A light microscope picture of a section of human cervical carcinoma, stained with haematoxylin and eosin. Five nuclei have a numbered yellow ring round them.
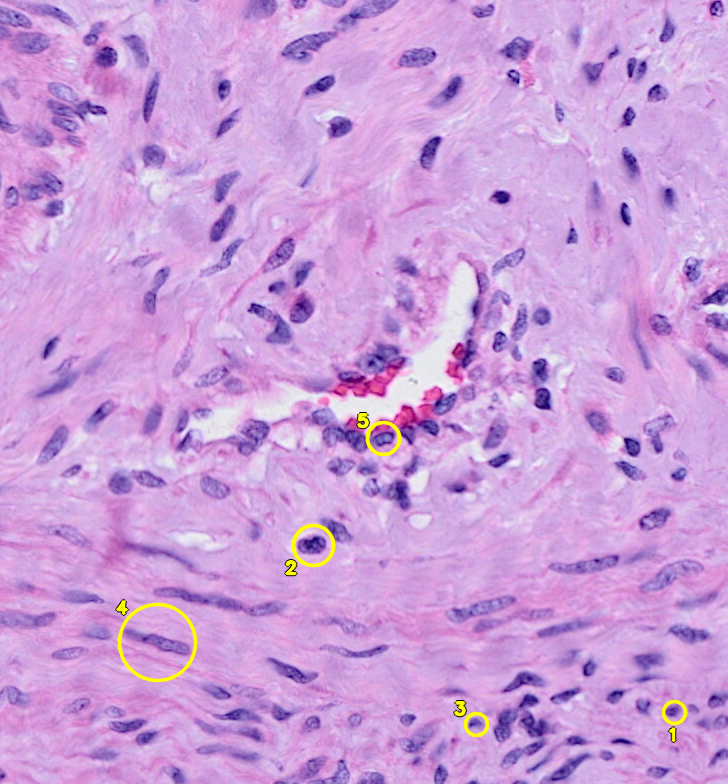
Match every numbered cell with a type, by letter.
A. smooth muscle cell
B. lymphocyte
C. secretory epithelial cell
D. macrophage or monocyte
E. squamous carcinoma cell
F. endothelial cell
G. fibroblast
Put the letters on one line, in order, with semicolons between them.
A; B; G; A; F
